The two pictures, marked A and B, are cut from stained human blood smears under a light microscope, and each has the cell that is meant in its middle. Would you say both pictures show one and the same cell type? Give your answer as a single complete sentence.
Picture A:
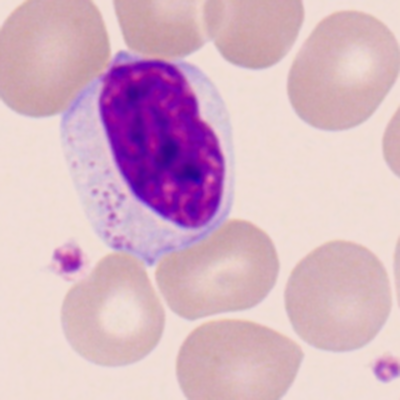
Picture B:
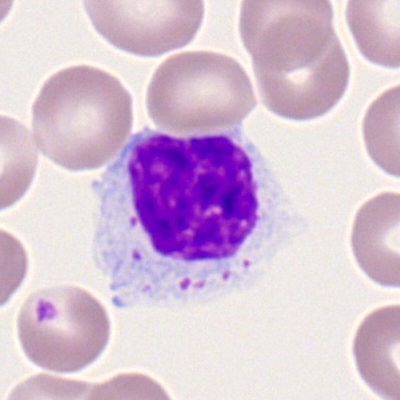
Yes, they are the same type: both are lymphocytes.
